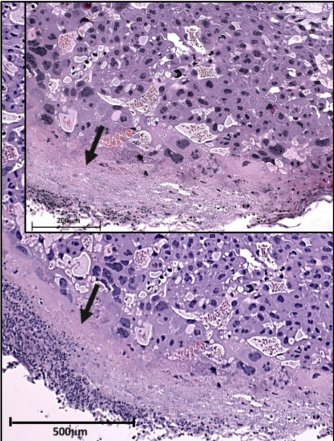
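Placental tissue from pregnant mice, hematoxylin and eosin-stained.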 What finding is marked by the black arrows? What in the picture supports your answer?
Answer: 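The arrows point to a pale pink, smudgy zone with few intact nuclei. This zone lies beneath a layer of large cells with big nuclei. That points to this answer: necrotic areas.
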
